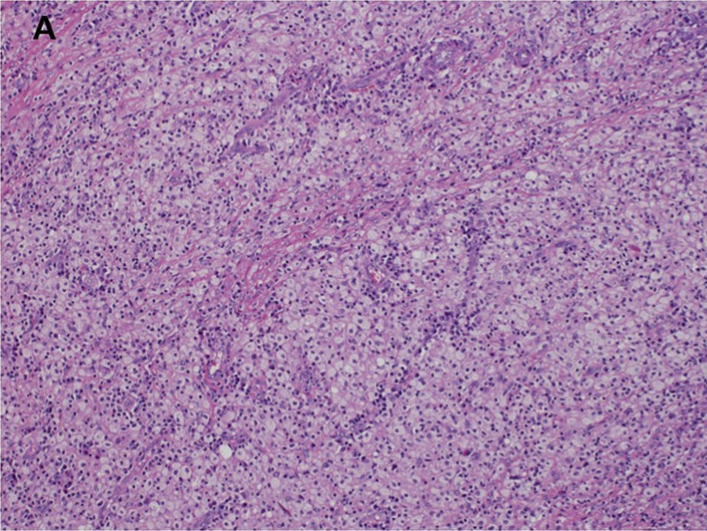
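Xanthogranulomatous inflammation at low power, forming a diffuse sheet of pale cells with clear to foamy cytoplasm that fills the whole field. Among them run irregular bands and clusters of small, darkly staining round nuclei. Thin pink fibrous strands and small vessels cross the tissue, more in the upper left.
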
